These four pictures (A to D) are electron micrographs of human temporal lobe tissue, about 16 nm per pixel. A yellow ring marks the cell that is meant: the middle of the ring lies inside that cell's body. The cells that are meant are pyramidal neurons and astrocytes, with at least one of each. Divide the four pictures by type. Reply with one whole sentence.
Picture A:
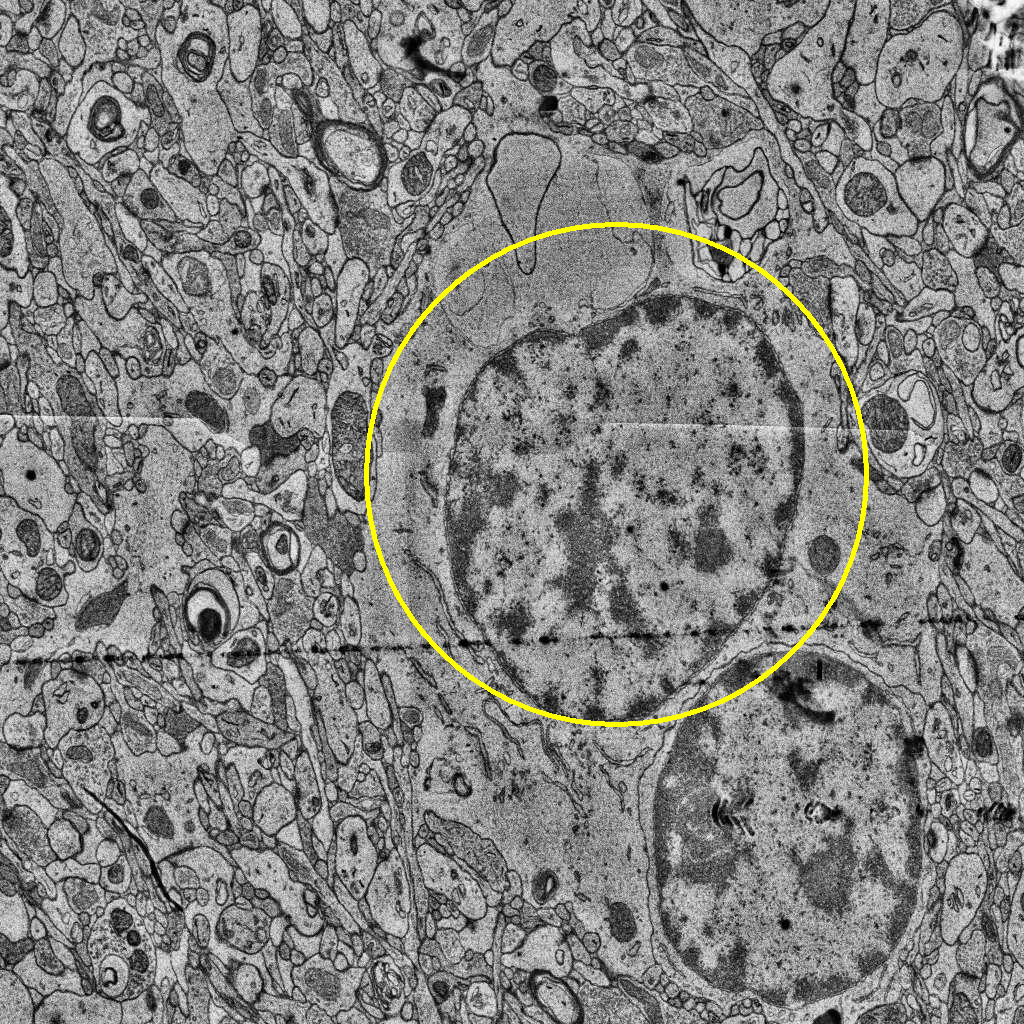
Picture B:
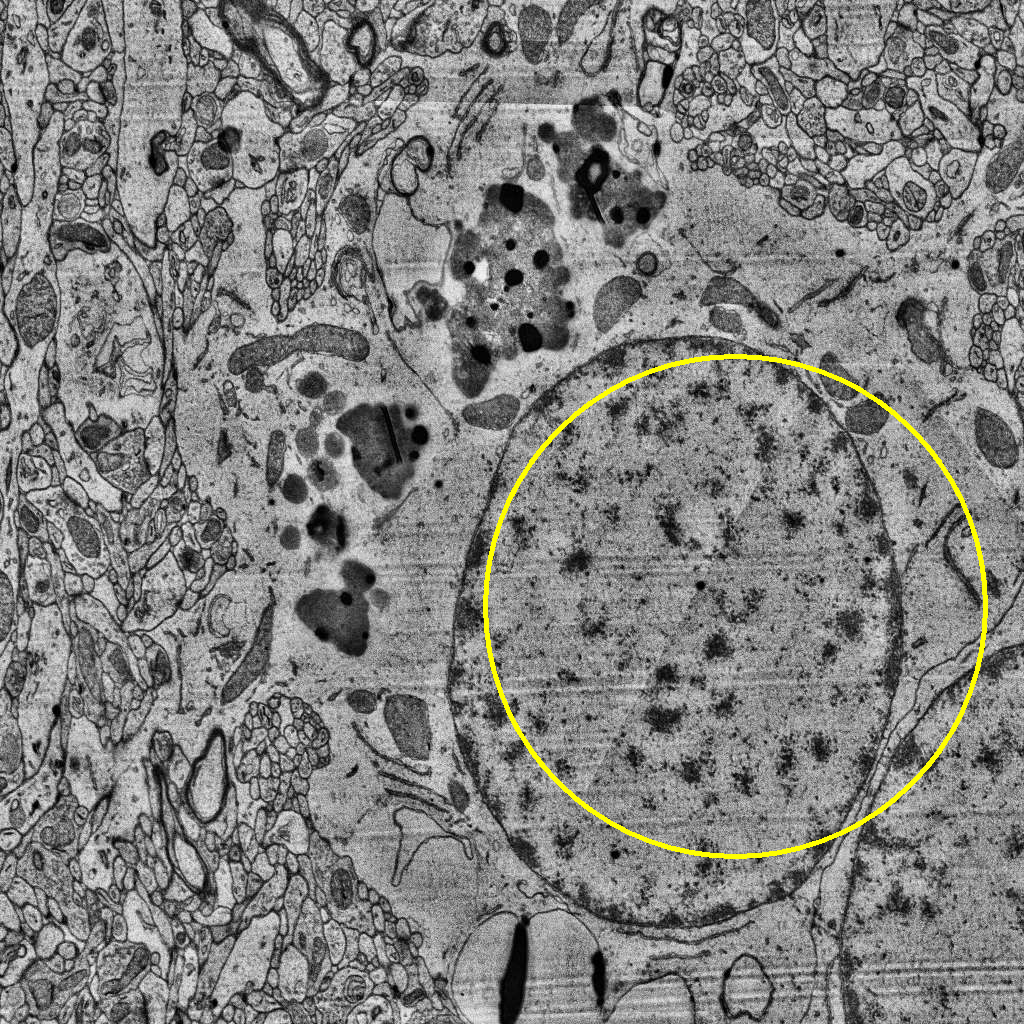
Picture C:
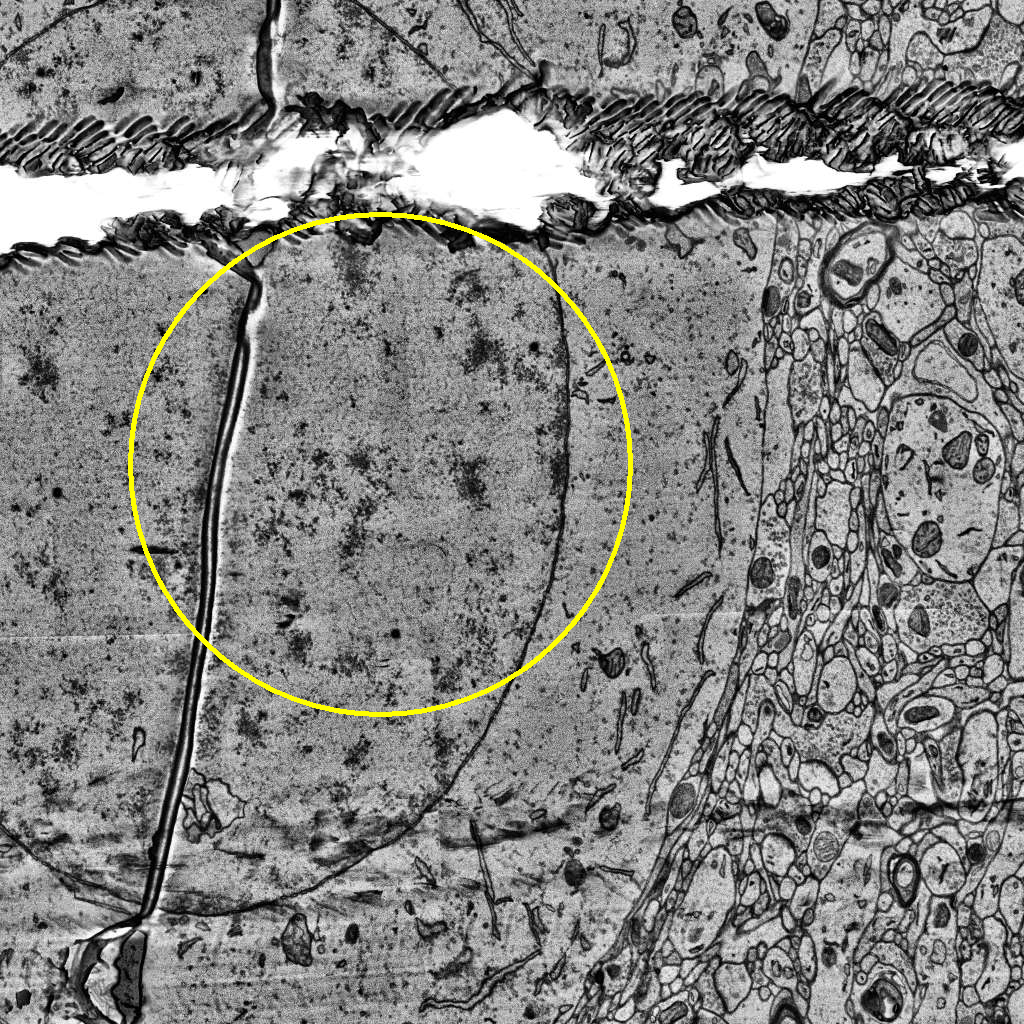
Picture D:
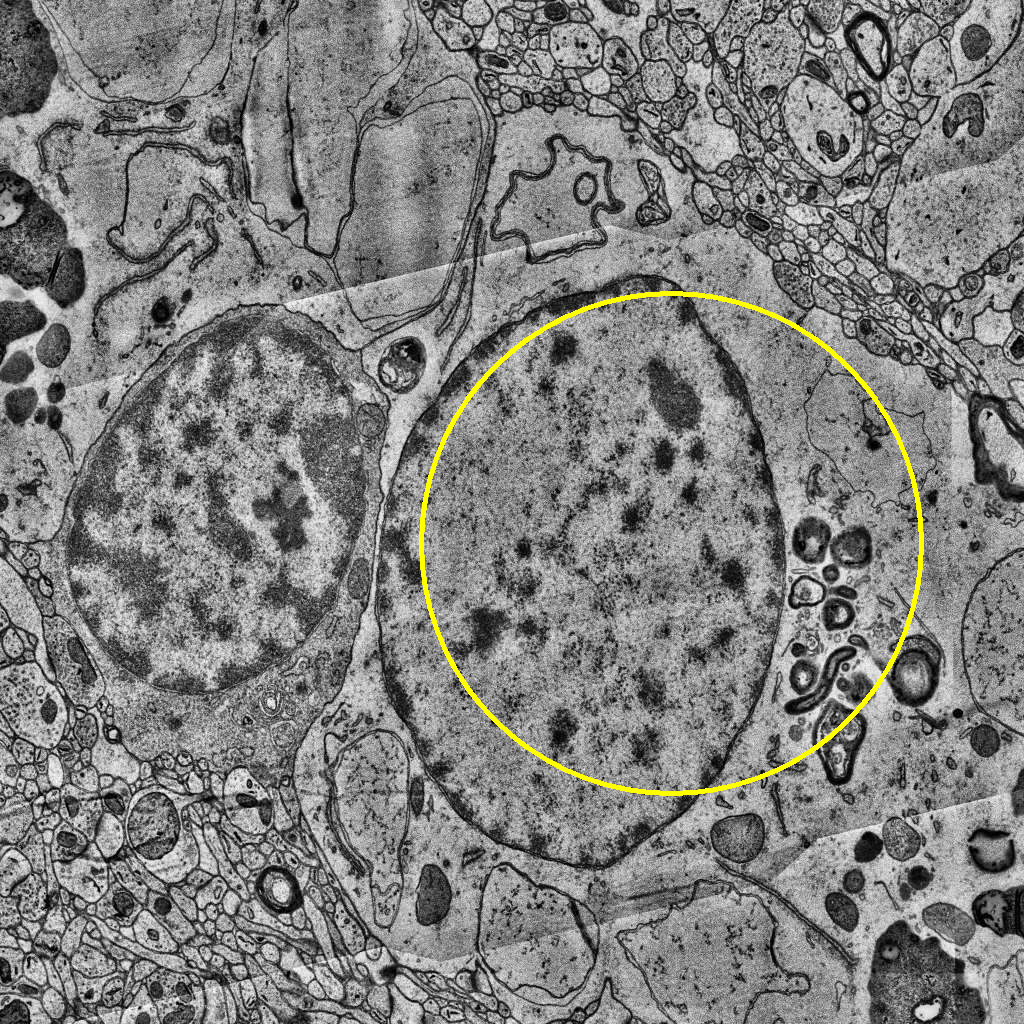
Picture C shows a pyramidal neuron, while pictures A, B and D show astrocytes.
